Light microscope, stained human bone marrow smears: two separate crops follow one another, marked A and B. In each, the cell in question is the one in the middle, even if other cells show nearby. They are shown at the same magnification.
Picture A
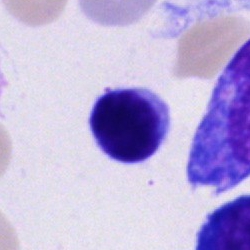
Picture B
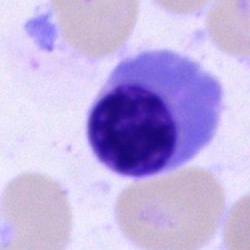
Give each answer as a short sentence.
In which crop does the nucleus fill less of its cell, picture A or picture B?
In picture B the nucleus takes up the smaller part of its cell.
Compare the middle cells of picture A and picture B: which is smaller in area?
It is the cell in picture A; the cell in picture B has about 2.5 times its area.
